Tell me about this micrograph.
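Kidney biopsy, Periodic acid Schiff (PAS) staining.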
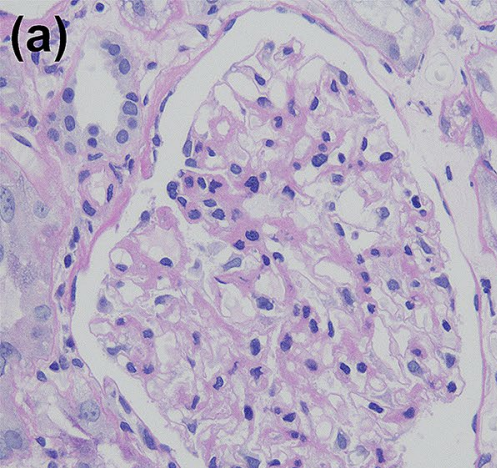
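A rounded tuft of capillary loops sits within a clear space ringed by a thin pink capsule, surrounded by tubules with pale cytoplasm. Within the tuft, thin magenta-outlined capillary walls and delicate pink mesangial matrix enclose open lumens, with scattered dark blue nuclei. The matrix between the loops is not widened, nuclei are not crowded, and no part of the tuft is solidified by scar. The tuft thus shows no focal sclerosis and no increase in mesangial matrix or cellularity.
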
